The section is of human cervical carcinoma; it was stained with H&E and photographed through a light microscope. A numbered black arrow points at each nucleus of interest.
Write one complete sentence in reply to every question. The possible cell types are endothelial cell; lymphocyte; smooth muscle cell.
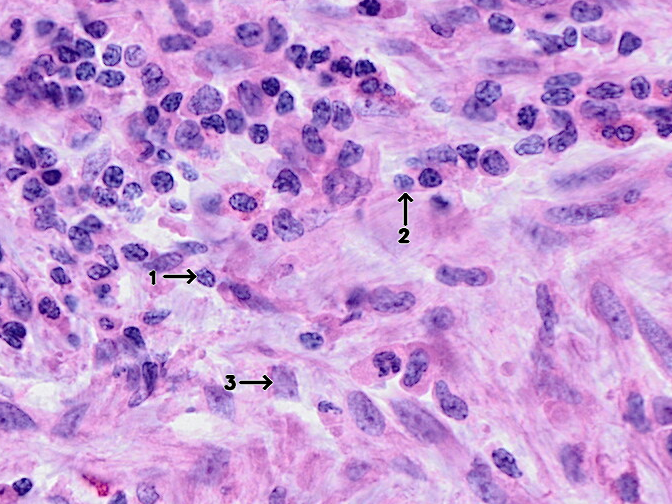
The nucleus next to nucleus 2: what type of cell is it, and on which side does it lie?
A lymphocyte lies closest, to the right of nucleus 2.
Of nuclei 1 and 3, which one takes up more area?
At about 2.5 times the area of nucleus 1, nucleus 3 is the larger of the two.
